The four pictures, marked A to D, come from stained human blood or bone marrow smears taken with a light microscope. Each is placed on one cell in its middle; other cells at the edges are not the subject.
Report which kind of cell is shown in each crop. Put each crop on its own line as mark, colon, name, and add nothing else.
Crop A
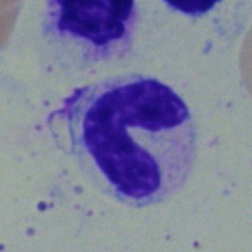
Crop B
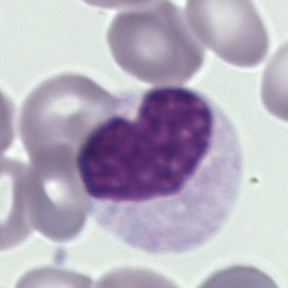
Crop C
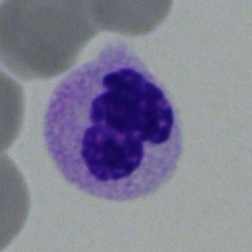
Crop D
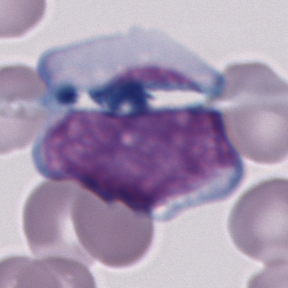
A: band neutrophil
B: band neutrophil
C: segmented neutrophil
D: blast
